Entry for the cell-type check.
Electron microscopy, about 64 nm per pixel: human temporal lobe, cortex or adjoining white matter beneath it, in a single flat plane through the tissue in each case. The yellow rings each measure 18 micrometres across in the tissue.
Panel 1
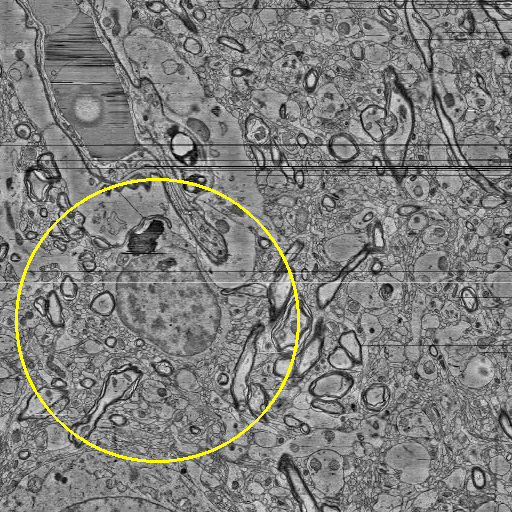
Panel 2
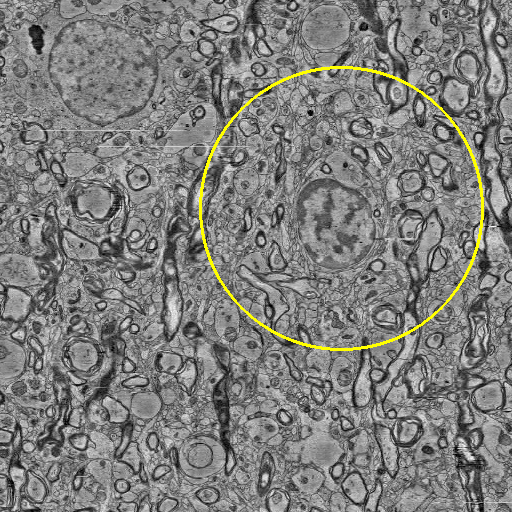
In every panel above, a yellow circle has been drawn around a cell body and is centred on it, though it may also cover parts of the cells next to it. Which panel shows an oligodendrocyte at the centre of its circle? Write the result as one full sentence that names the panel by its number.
Panel 1 shows it at the centre of its circle.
